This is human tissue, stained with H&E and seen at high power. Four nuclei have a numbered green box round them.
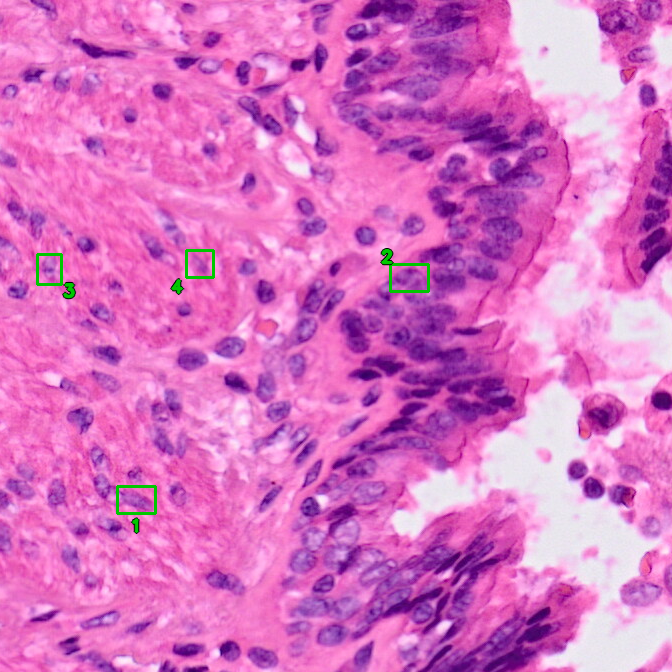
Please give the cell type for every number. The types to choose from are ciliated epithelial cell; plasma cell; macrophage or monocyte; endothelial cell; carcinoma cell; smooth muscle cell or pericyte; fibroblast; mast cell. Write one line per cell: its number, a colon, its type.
1: smooth muscle cell or pericyte
2: ciliated epithelial cell
3: smooth muscle cell or pericyte
4: smooth muscle cell or pericyte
